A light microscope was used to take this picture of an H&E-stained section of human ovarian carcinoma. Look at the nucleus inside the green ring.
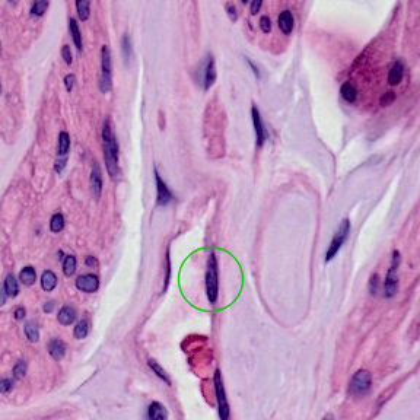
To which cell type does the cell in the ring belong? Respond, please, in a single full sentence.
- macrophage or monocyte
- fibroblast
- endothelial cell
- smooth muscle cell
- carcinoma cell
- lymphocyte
As for its identity, the cell in the ring is an endothelial cell.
